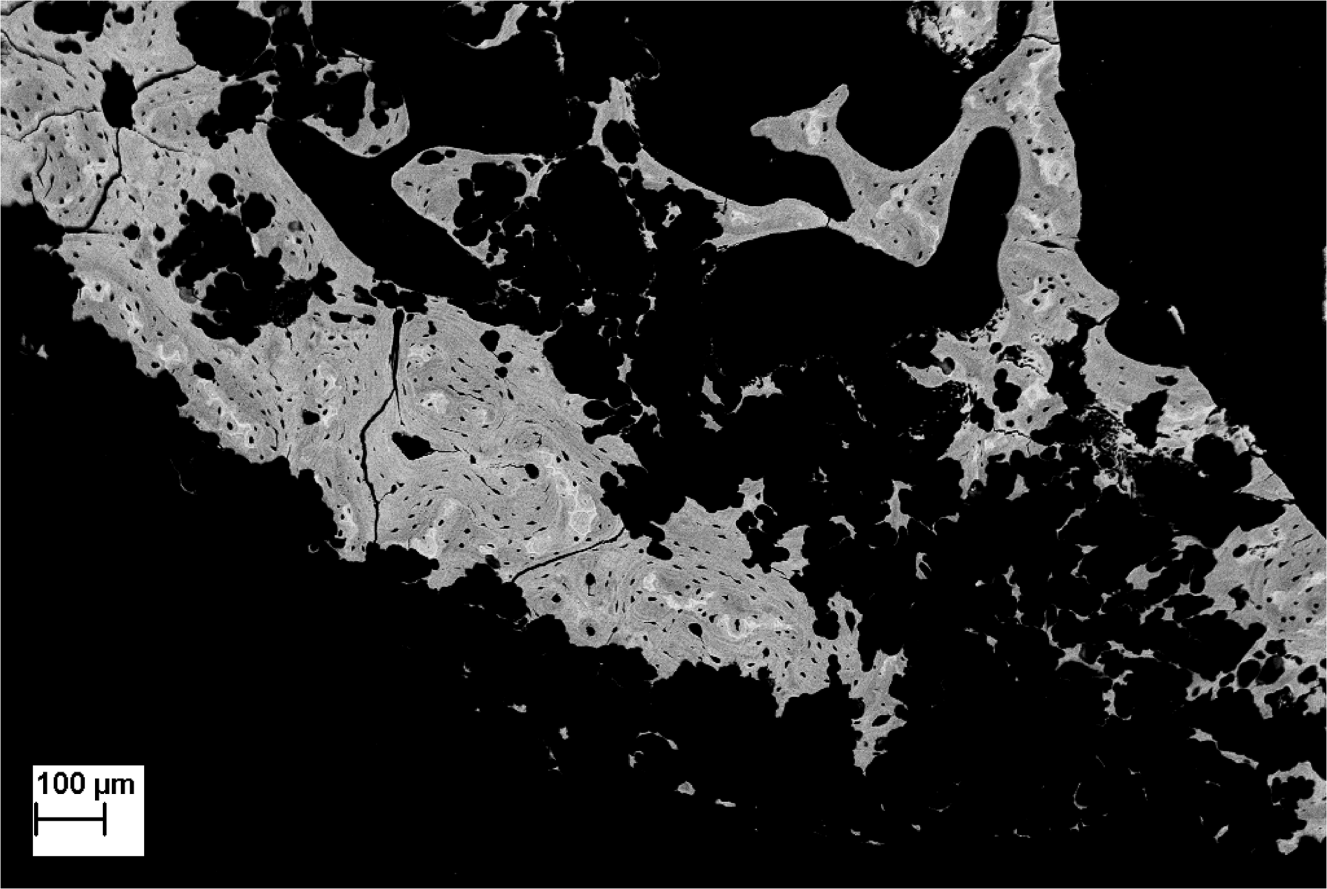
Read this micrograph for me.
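Throughout the matrix lie many small dark elongated spots, the lacunae where bone cells sat, and in places the matrix forms whorled, layered patterns around canals, some rimmed by a brighter band. A few thin cracks run across the bone. What stands out is the damage: the bone is broken into irregular pieces and slender struts, with ragged eroded edges, and clusters of rounded, many-lobed holes eat into the matrix, often merging into larger scalloped cavities.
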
